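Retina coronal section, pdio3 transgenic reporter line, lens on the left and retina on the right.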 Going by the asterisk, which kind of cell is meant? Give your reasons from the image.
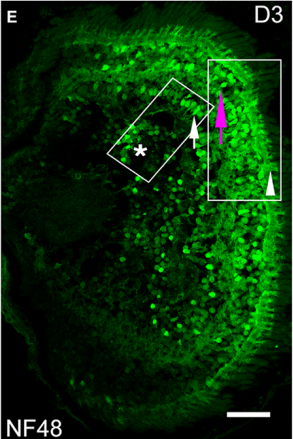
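Ganglion cells. The asterisk lies in the innermost cell layer, nearest the lens side. Labelled round cell bodies lie there inside the boxed area.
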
